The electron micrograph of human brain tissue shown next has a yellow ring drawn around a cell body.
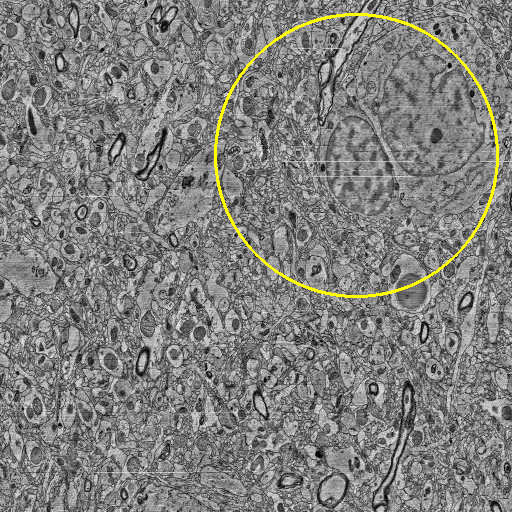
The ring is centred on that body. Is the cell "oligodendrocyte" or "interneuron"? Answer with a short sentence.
The cell in question is an oligodendrocyte.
